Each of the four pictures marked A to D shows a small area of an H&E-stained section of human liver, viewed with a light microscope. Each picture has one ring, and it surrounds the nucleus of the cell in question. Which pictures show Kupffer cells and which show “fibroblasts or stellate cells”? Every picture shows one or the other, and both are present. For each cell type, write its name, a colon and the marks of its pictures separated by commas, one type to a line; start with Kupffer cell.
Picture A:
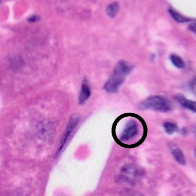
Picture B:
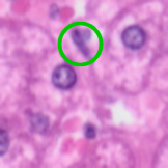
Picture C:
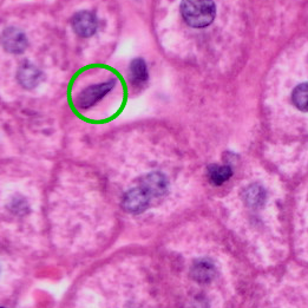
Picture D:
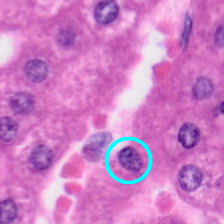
Kupffer cell: B, C
fibroblast or stellate cell: A, D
